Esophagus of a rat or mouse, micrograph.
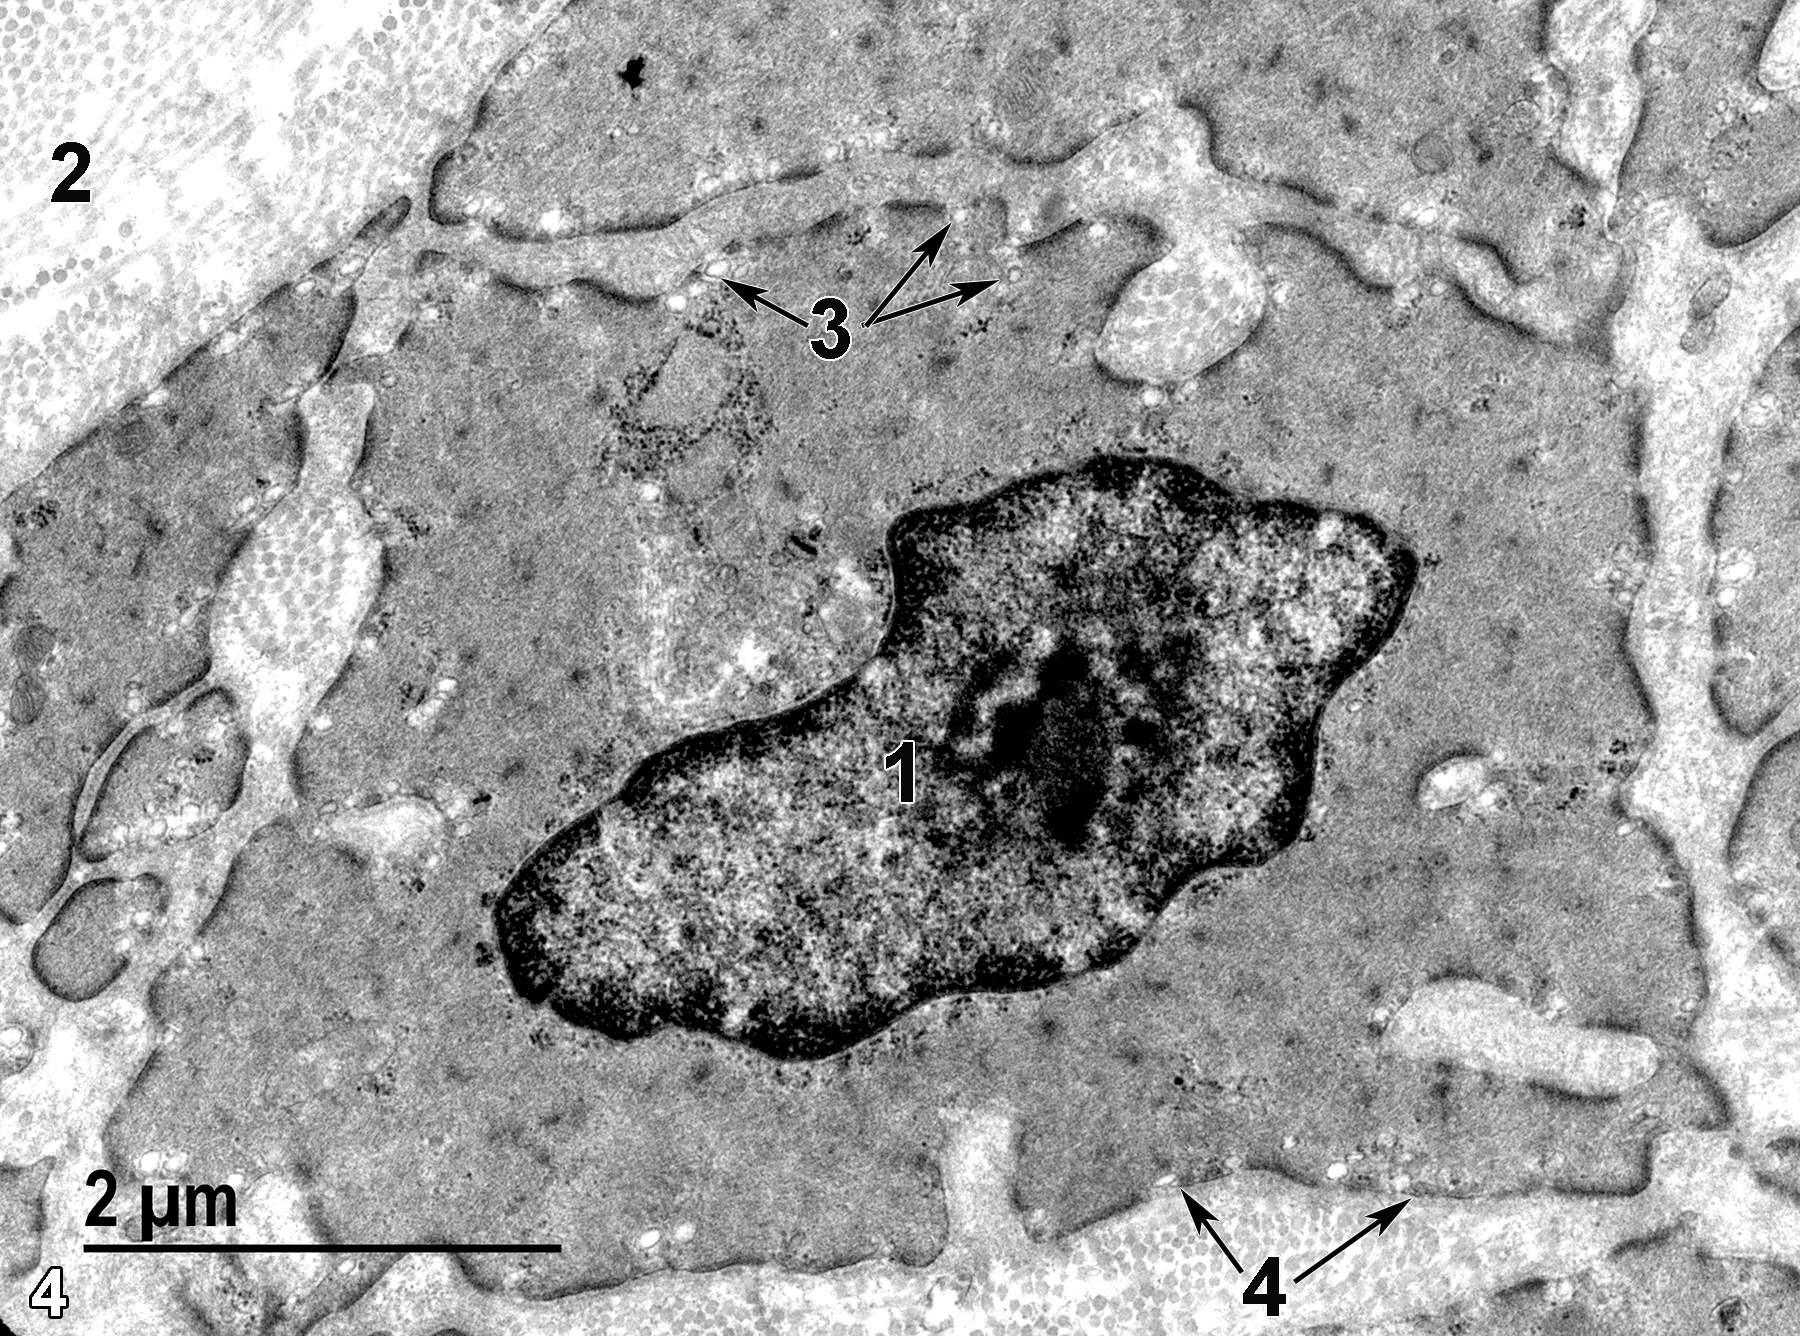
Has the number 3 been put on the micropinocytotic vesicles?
Yes.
